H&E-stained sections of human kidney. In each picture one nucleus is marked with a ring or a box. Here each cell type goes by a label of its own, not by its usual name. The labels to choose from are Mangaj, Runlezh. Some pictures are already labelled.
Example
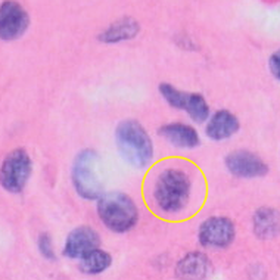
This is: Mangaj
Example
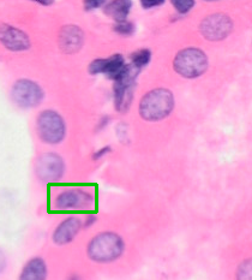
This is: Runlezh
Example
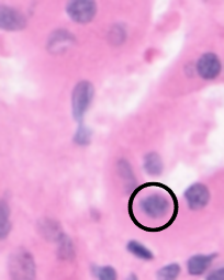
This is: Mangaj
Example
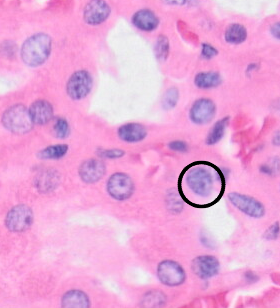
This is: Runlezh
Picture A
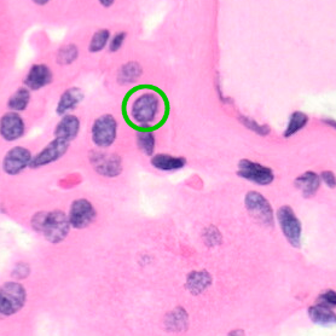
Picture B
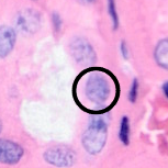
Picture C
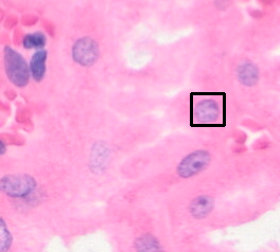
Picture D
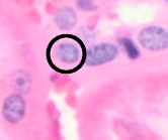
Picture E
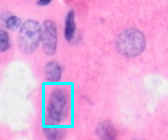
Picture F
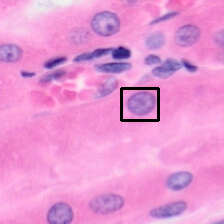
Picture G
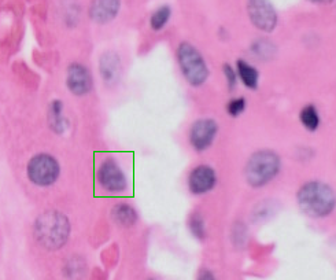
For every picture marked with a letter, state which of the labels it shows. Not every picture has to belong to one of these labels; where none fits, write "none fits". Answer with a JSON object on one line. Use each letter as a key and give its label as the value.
{"A": "Runlezh", "B": "Runlezh", "C": "none fits", "D": "Runlezh", "E": "Runlezh", "F": "none fits", "G": "Mangaj"}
